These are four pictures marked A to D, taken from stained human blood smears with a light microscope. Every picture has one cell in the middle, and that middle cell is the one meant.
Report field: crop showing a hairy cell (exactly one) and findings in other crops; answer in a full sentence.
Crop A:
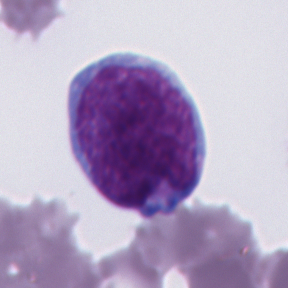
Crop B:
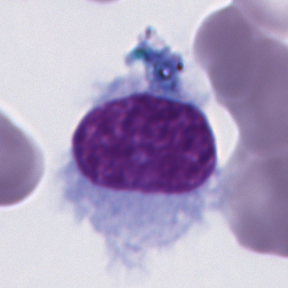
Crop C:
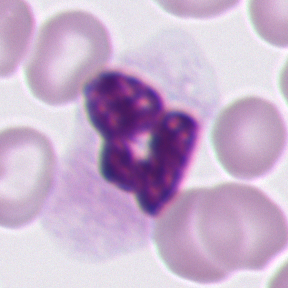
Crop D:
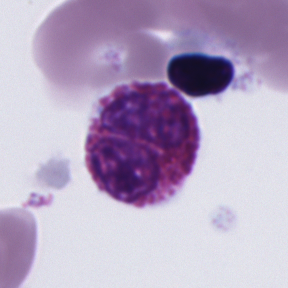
While crop A is a myeloblast, crop C is a segmented neutrophil and crop D is an eosinophil, crop B shows a hairy cell.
